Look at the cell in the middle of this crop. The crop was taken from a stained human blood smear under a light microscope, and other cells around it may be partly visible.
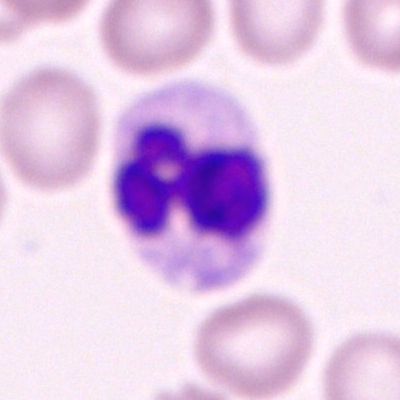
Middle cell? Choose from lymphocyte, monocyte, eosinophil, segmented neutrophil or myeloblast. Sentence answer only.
The identification for the central cell is a segmented neutrophil.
